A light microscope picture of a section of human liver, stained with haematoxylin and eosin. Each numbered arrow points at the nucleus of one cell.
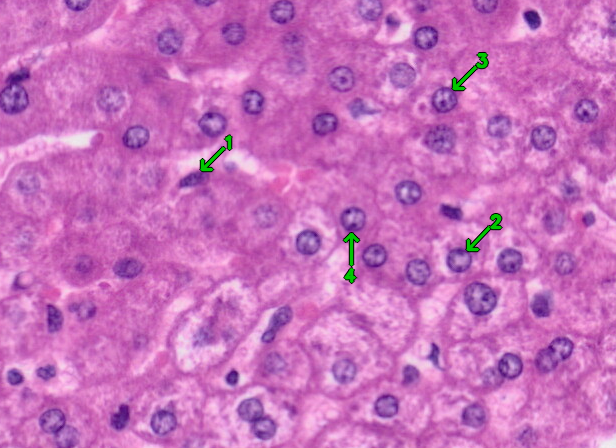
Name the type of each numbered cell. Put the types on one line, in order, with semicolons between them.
Kupffer cell; hepatocyte; hepatocyte; hepatocyte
